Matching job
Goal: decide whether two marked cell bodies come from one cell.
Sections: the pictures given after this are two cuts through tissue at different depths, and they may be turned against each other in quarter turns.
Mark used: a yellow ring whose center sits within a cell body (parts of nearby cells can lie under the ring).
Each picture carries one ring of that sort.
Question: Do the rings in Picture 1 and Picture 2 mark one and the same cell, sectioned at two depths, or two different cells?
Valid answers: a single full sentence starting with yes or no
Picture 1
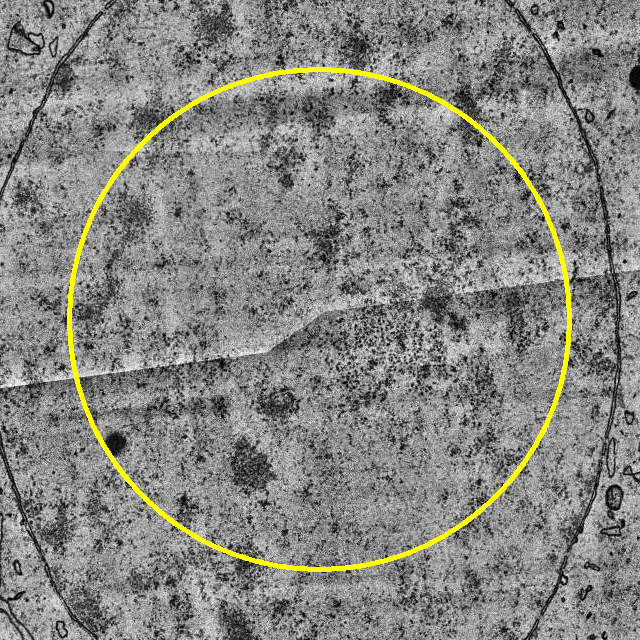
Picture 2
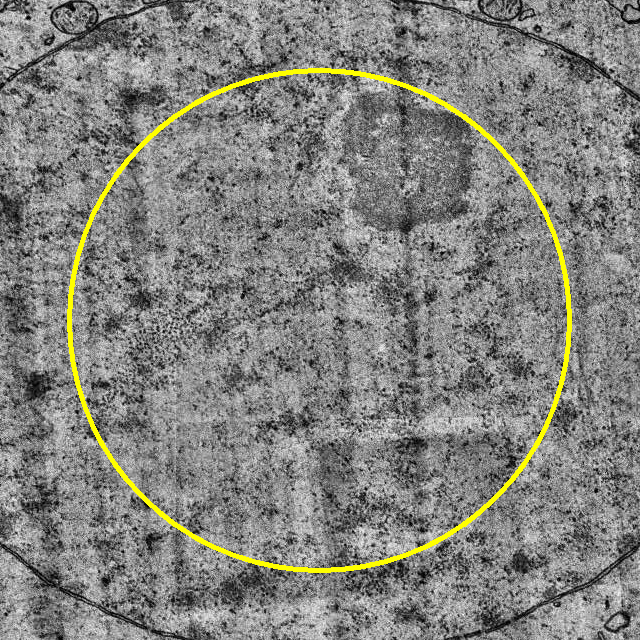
Yes, both rings are placed on a single cell.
